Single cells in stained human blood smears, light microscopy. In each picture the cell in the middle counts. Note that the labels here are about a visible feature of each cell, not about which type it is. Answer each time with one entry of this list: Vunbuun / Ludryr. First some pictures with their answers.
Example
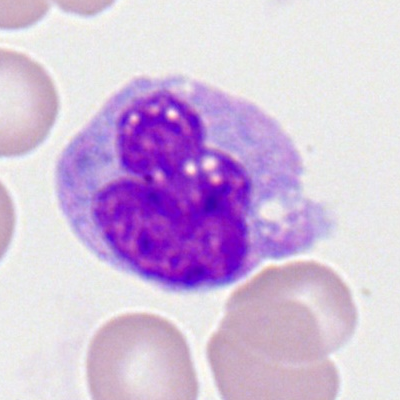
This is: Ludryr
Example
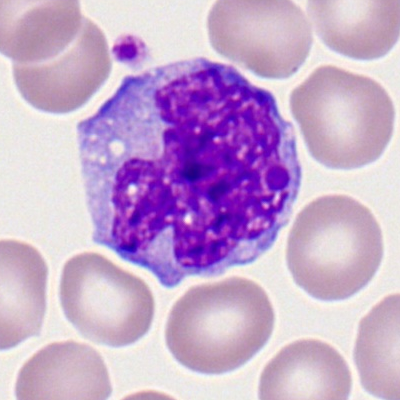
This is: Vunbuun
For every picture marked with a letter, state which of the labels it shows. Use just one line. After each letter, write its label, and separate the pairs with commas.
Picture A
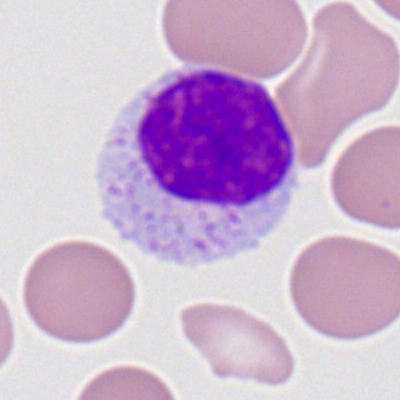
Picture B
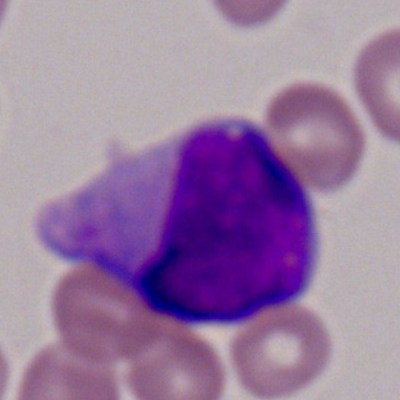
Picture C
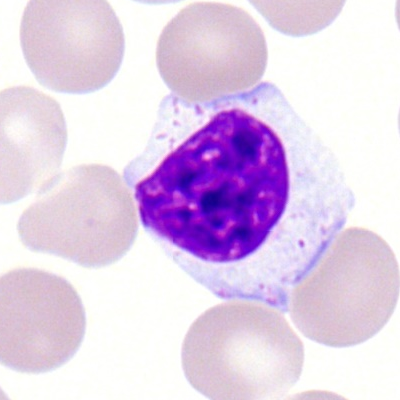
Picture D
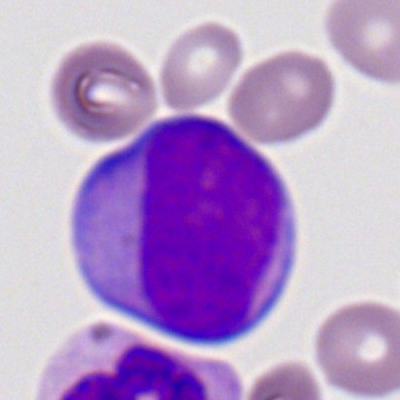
A Ludryr, B Ludryr, C Ludryr, D Ludryr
